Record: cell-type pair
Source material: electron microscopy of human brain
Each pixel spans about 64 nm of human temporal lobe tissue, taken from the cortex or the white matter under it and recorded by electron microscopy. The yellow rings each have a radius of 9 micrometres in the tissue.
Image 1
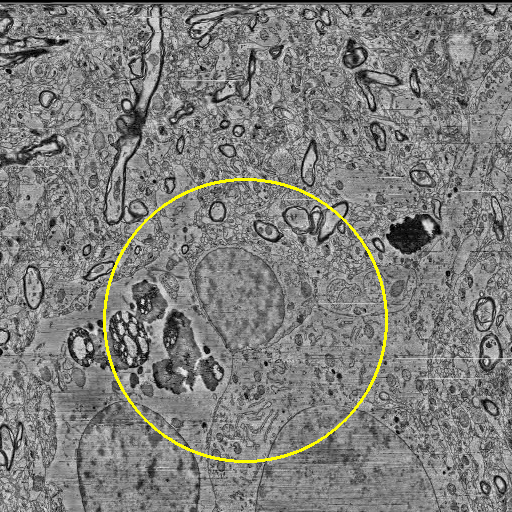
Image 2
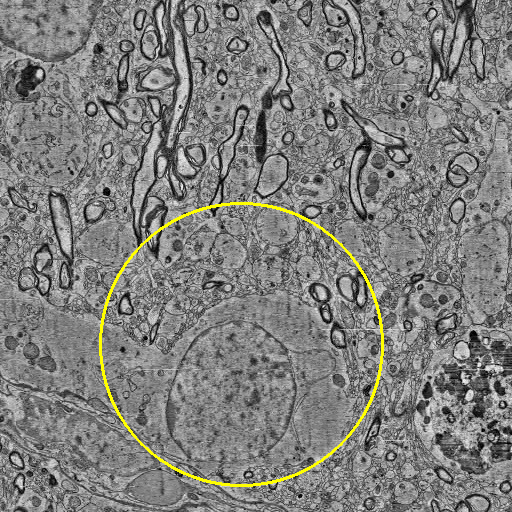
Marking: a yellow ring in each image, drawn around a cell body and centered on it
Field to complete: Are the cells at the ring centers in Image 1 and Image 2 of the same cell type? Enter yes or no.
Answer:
no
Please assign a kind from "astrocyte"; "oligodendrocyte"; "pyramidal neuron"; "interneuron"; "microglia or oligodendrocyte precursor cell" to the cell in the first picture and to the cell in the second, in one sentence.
In the first picture we have an oligodendrocyte, and in the second, an astrocyte.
